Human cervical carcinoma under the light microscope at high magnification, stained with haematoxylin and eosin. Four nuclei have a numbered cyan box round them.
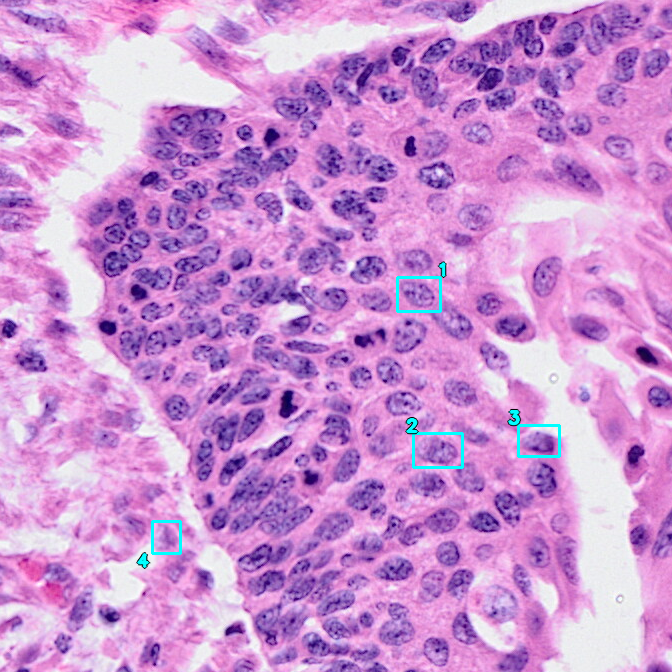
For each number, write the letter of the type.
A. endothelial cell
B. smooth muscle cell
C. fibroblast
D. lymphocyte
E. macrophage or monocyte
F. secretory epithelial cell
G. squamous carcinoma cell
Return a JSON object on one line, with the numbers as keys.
{"1": "G", "2": "G", "3": "G", "4": "C"}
